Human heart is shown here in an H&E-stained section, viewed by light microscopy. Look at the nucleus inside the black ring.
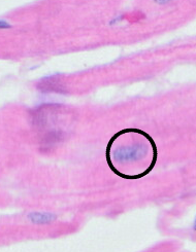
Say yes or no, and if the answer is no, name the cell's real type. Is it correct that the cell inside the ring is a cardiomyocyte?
Yes.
